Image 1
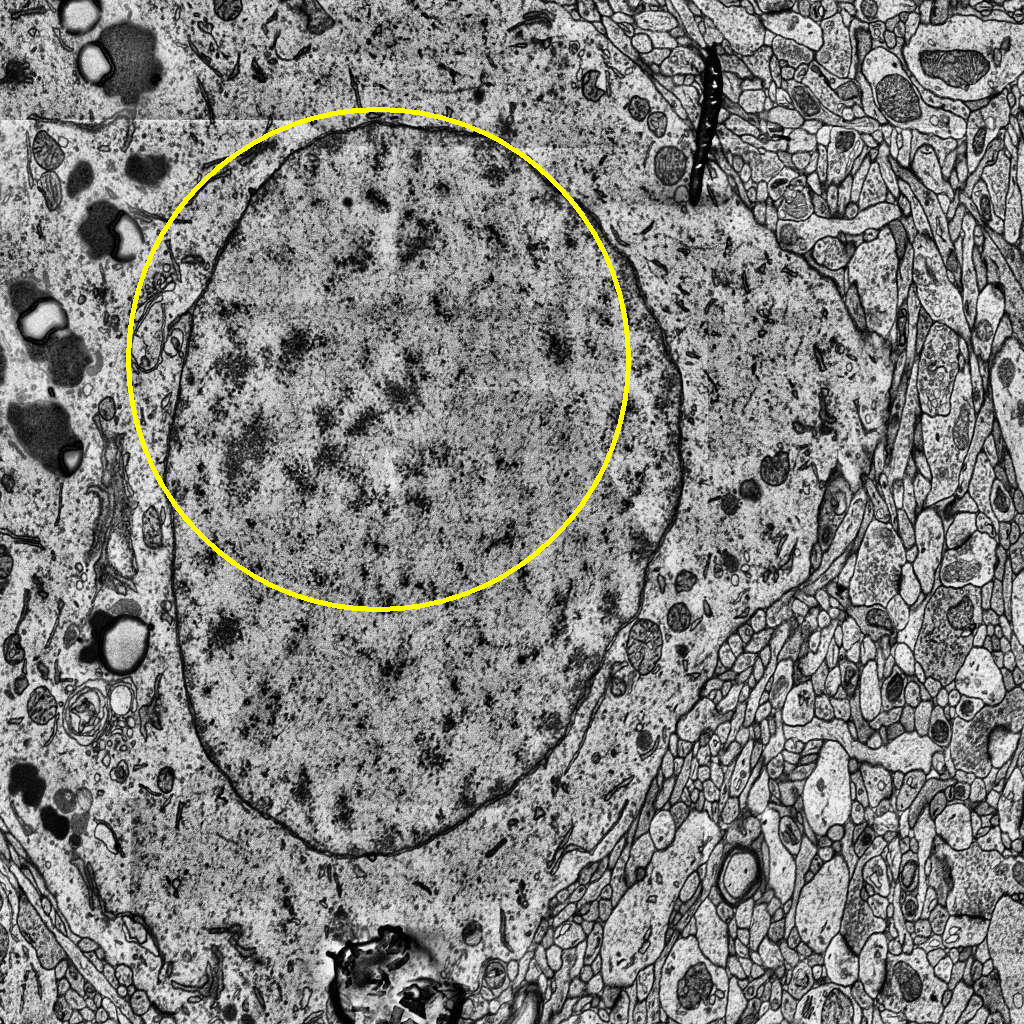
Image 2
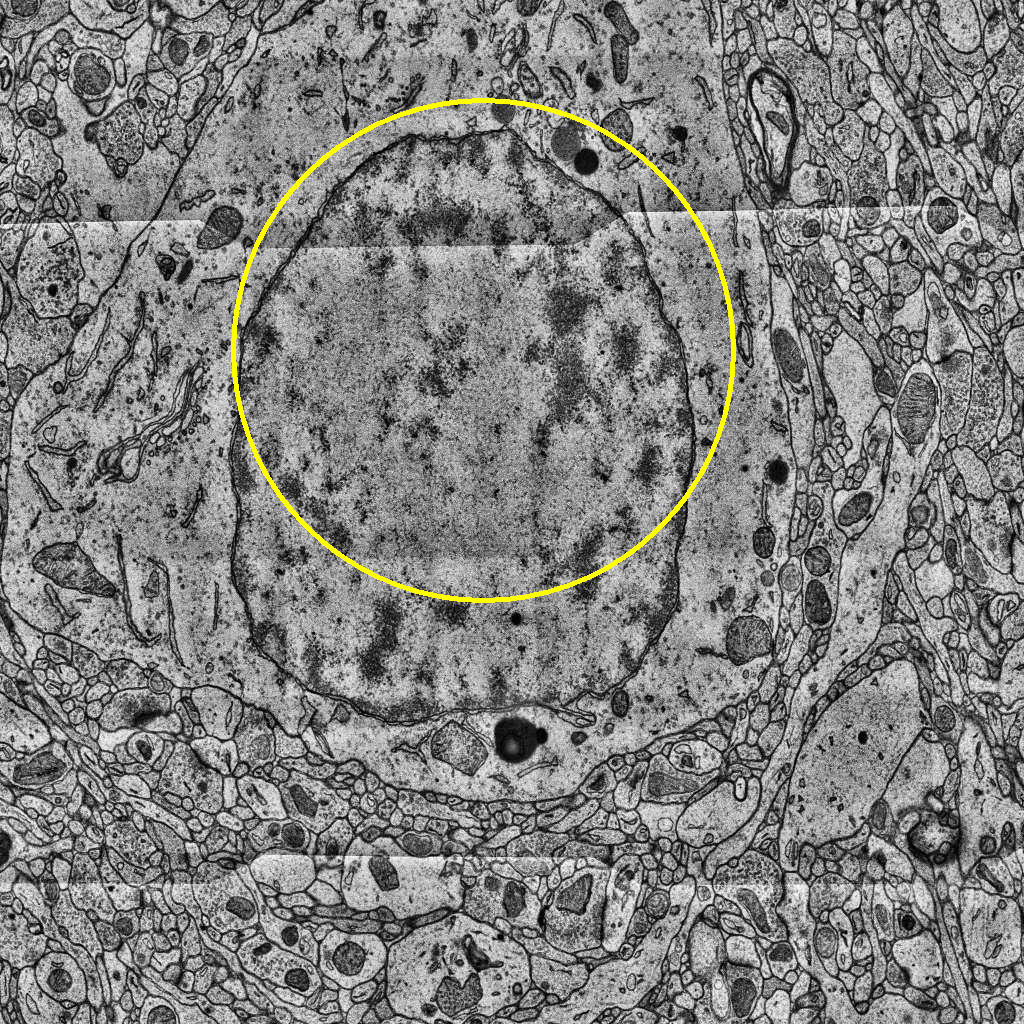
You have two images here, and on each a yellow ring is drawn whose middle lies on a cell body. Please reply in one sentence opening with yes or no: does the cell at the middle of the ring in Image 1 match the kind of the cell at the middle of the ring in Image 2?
Yes, the two images show cells of one kind at the centres of their rings.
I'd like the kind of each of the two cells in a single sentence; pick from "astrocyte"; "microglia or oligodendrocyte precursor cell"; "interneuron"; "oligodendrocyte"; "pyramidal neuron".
Both rings mark a pyramidal neuron, one in each picture.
